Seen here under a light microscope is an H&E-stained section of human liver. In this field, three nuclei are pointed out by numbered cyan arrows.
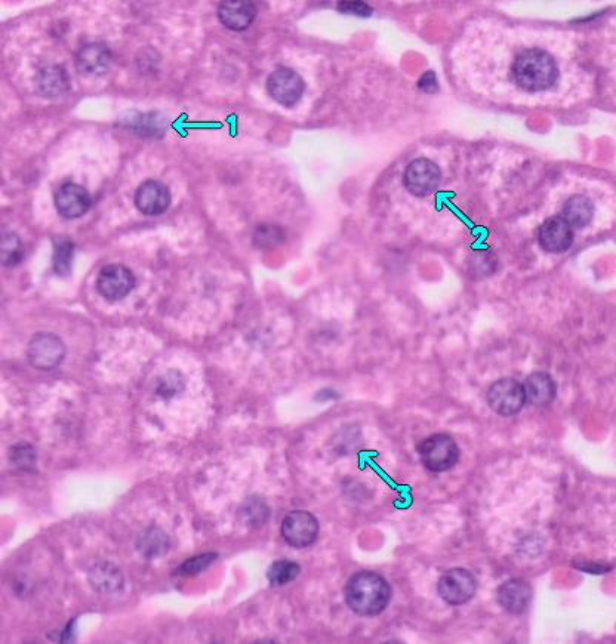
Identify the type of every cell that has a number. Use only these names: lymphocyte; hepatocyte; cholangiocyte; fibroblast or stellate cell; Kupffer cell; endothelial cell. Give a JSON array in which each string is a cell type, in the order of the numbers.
["endothelial cell", "hepatocyte", "hepatocyte"]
